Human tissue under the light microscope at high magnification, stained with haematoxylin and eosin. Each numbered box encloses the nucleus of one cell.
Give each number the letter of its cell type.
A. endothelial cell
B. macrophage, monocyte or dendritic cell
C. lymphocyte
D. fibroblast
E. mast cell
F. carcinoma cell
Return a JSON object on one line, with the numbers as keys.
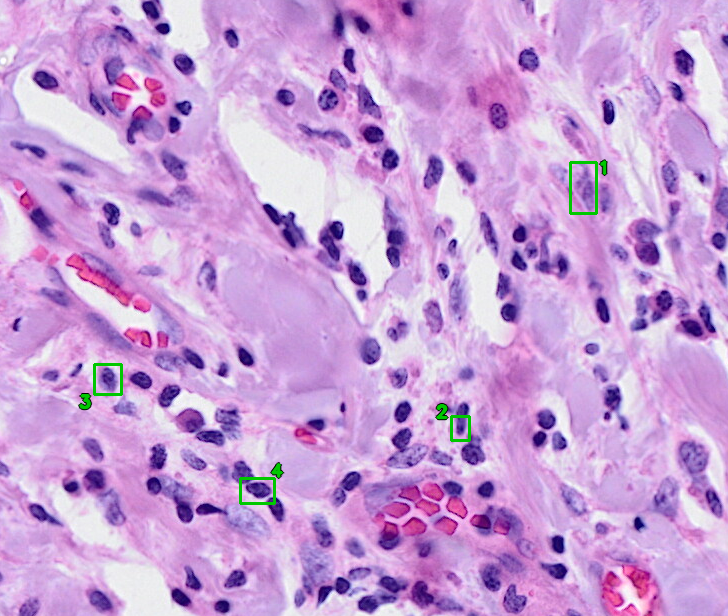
{"1": "D", "2": "C", "3": "C", "4": "C"}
